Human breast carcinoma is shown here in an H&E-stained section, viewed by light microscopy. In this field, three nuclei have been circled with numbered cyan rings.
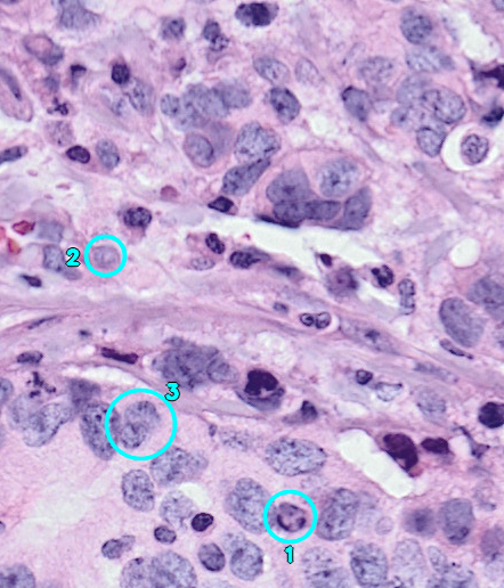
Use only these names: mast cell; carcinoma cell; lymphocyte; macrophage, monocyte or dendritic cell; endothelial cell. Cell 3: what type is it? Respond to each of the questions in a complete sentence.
In the tissue shown, cell 3 is a carcinoma cell.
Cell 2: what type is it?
The marked nucleus 2 is that of an endothelial cell.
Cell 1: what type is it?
In this section, number 1 marks a carcinoma cell.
